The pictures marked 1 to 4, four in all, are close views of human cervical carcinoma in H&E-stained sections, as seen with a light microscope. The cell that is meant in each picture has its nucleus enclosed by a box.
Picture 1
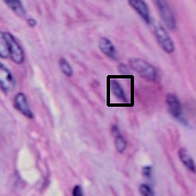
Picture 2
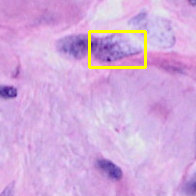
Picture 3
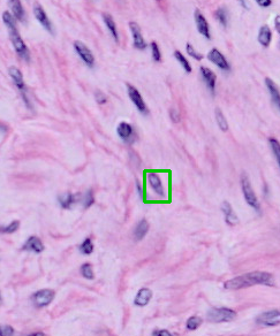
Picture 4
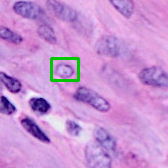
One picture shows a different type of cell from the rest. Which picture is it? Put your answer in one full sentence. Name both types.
Unlike the rest, which show smooth muscle cells, picture 2 shows an endothelial cell.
